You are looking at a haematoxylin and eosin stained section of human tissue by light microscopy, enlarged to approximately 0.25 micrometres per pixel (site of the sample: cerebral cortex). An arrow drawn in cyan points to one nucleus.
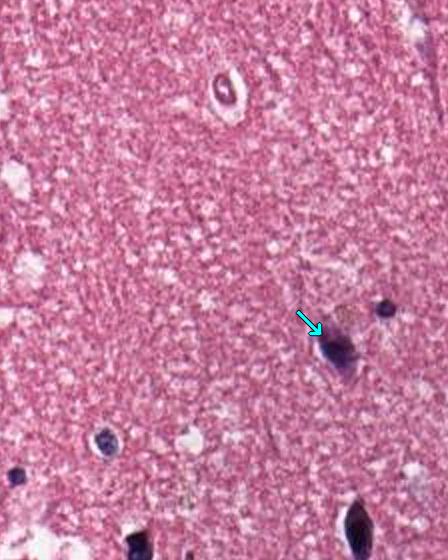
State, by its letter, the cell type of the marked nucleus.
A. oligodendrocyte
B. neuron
B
